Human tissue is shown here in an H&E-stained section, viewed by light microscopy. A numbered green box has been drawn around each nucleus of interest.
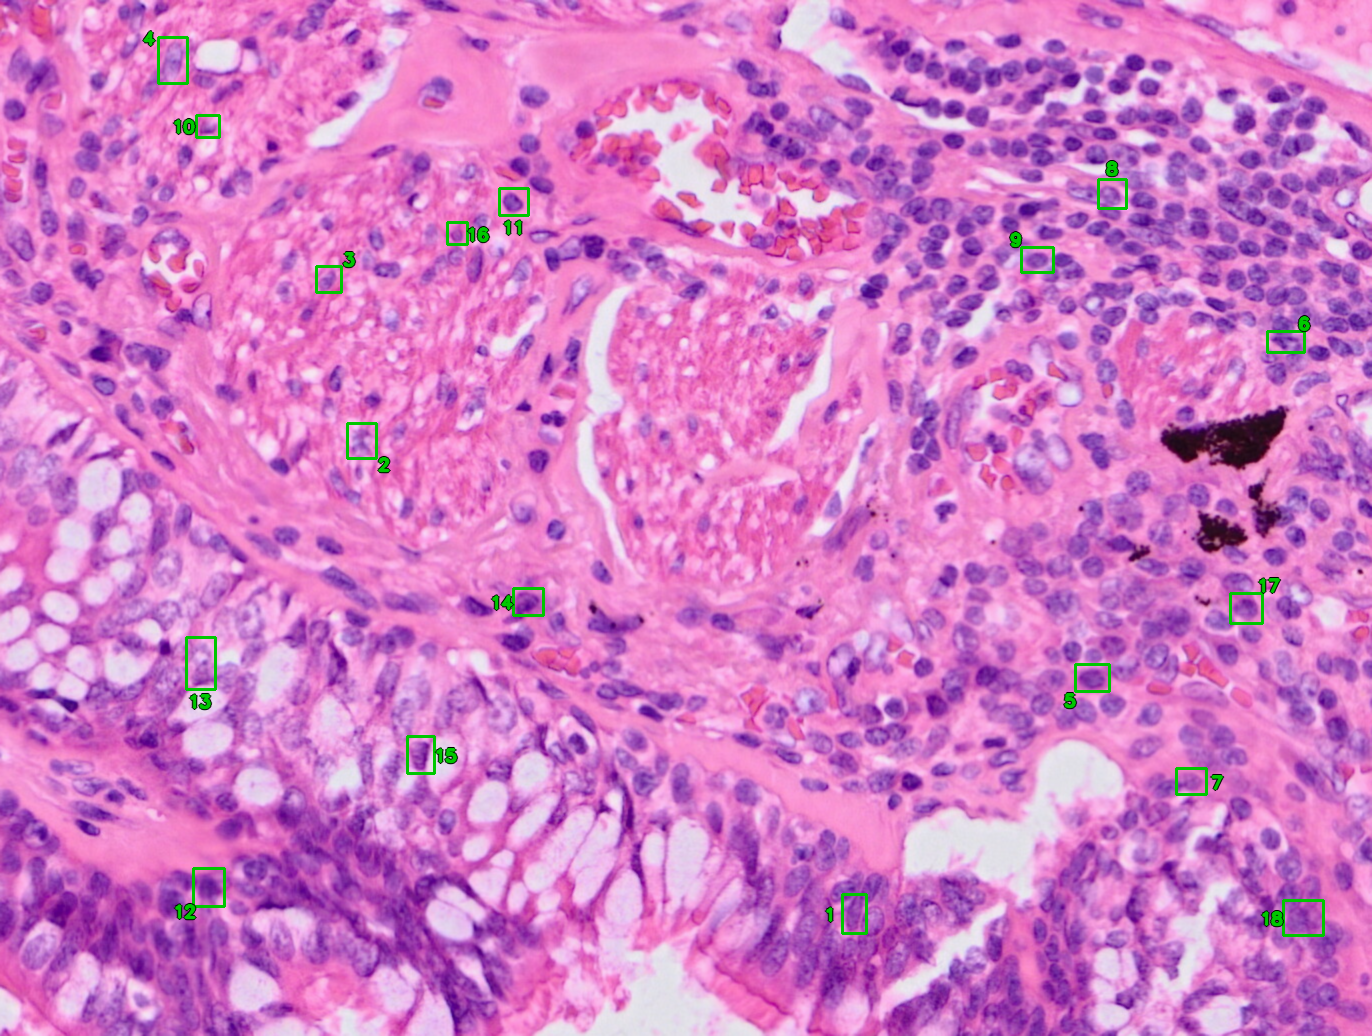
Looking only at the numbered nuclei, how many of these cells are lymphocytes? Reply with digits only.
3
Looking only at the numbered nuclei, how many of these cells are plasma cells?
3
